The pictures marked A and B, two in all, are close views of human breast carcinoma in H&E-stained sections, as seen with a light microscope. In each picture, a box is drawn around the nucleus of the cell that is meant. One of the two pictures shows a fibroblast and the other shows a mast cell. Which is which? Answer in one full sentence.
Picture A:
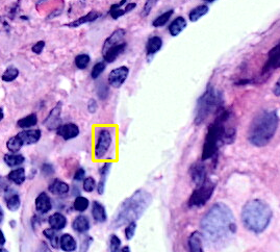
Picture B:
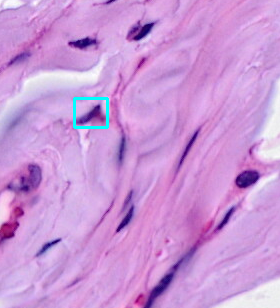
Picture A is of a mast cell, and picture B is of a fibroblast.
